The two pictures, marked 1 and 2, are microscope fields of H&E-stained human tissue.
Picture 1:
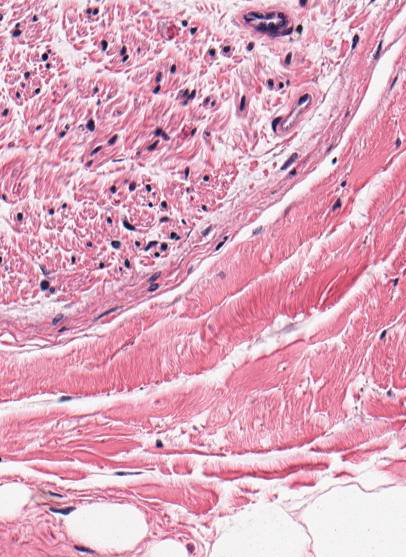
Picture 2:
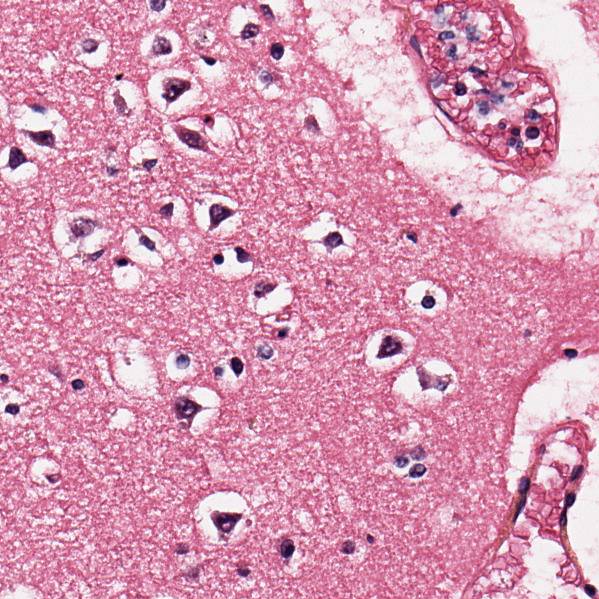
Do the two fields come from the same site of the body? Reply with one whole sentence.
No, they differ: picture 1 comes from the tibial nerve, and picture 2 comes from the cerebral cortex.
